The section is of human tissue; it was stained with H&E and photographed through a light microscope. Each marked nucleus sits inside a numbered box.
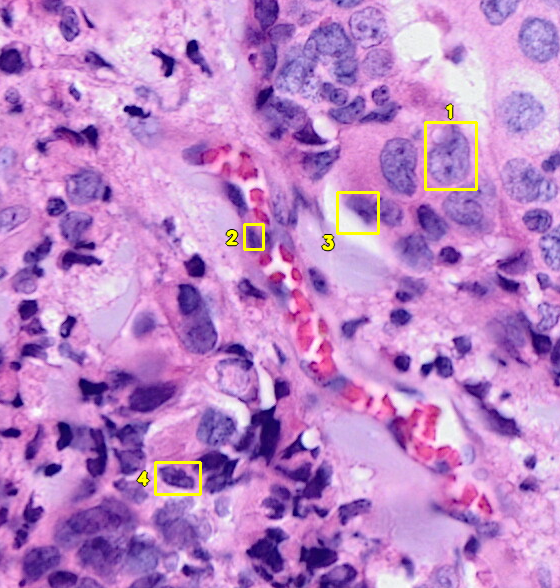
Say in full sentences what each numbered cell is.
Cells 1, 3 and 4 are carcinoma cells. Cell 2 is an endothelial cell.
